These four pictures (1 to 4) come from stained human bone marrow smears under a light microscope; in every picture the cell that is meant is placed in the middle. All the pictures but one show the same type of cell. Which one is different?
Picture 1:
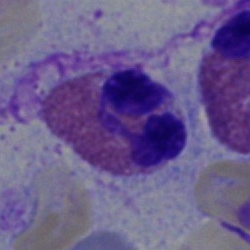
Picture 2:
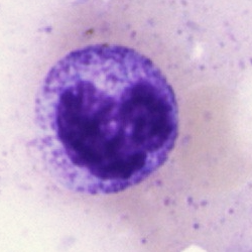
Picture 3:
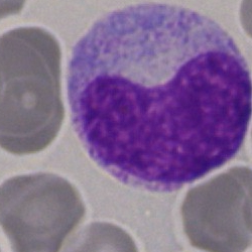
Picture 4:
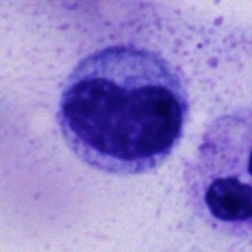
1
